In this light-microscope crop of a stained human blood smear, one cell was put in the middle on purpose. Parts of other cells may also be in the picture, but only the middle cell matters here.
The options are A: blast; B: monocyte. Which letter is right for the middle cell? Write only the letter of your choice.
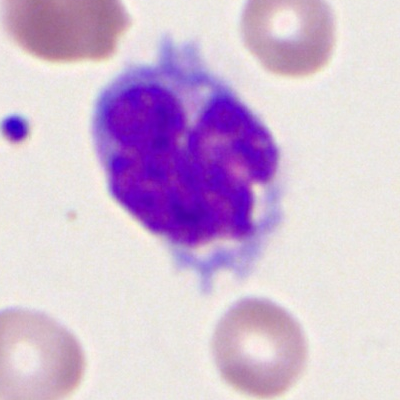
B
